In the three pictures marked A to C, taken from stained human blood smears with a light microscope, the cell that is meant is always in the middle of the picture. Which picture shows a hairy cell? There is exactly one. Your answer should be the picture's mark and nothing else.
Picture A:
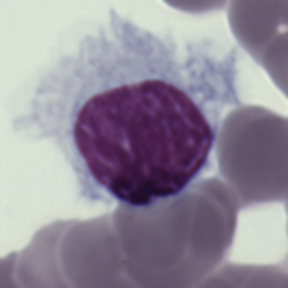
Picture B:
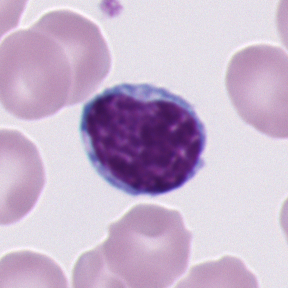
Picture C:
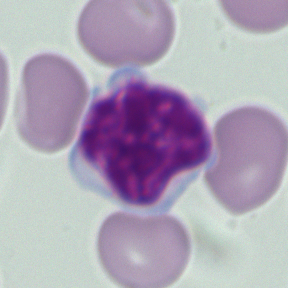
A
